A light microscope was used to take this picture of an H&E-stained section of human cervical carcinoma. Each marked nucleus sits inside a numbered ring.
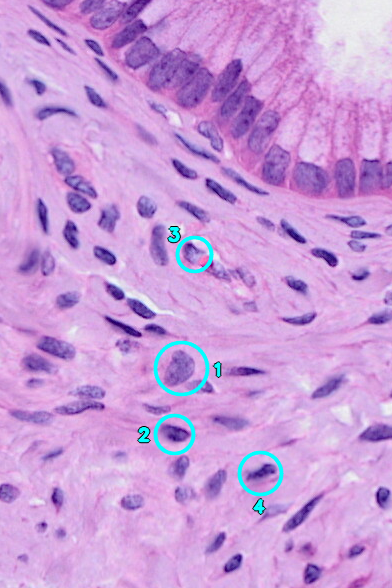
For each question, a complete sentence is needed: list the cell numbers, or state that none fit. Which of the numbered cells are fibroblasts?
The cells given the numbers 1, 2 and 4 are fibroblasts.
